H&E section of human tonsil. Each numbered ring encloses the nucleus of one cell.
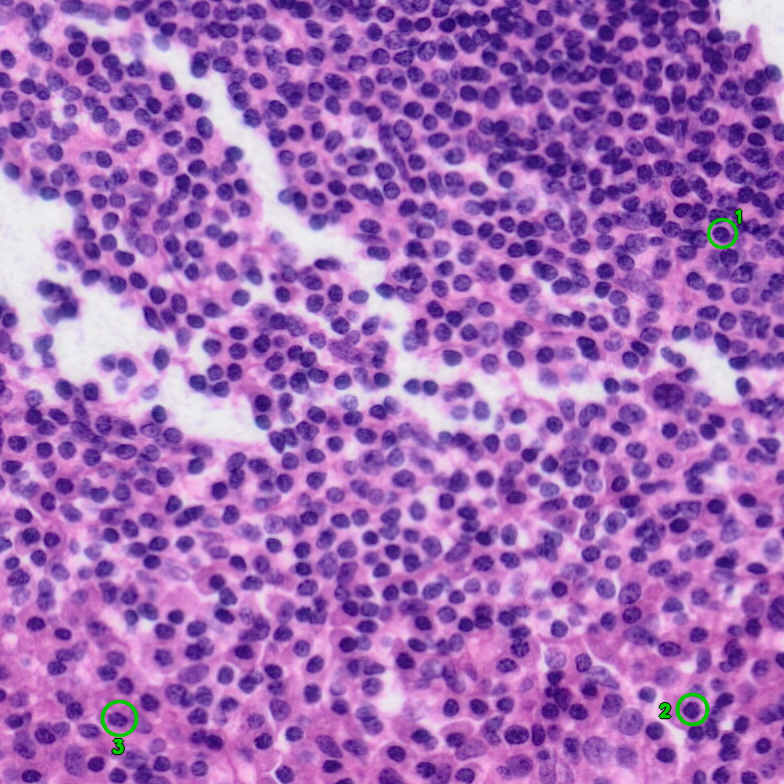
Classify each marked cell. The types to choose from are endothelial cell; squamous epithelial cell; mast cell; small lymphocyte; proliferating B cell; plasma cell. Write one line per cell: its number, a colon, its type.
1: small lymphocyte
2: plasma cell
3: plasma cell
